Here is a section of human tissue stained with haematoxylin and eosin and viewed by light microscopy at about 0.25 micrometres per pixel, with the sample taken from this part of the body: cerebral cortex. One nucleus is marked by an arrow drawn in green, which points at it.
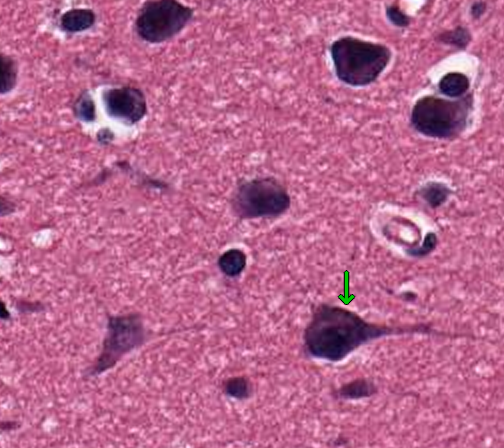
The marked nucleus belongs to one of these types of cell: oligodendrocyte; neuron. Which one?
neuron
